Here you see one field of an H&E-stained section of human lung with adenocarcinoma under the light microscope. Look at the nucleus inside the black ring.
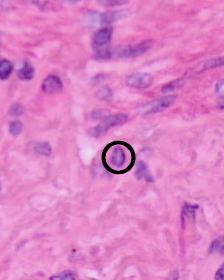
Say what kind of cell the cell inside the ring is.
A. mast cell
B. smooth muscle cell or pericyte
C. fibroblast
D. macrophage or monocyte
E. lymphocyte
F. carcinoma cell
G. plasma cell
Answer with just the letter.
A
